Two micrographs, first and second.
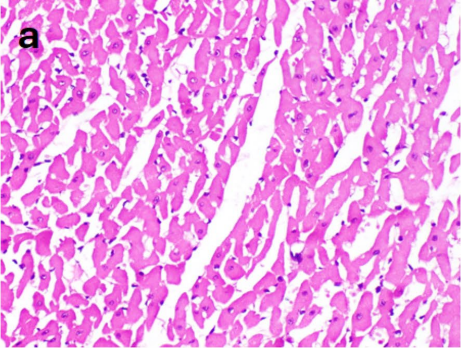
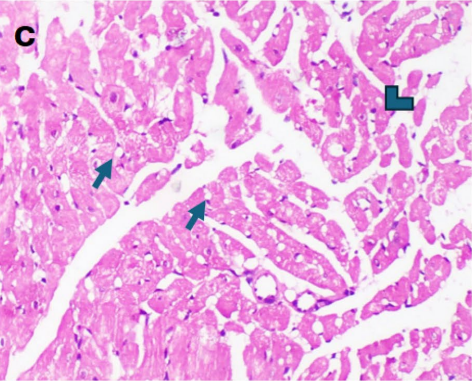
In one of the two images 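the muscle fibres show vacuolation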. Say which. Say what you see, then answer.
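The second image. Second image: fibres have pale, cleared cytoplasm with small vacuoles. First image: fibres have uniform, solid pink cytoplasm without vacuoles.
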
